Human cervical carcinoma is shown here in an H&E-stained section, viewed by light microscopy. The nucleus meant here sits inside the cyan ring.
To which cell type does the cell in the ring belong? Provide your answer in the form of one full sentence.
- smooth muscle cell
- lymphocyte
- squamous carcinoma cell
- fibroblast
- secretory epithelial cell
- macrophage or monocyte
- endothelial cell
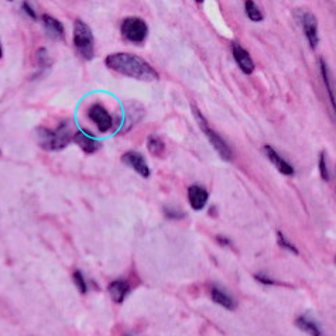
In the stained section, the cell in the ring is a lymphocyte.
